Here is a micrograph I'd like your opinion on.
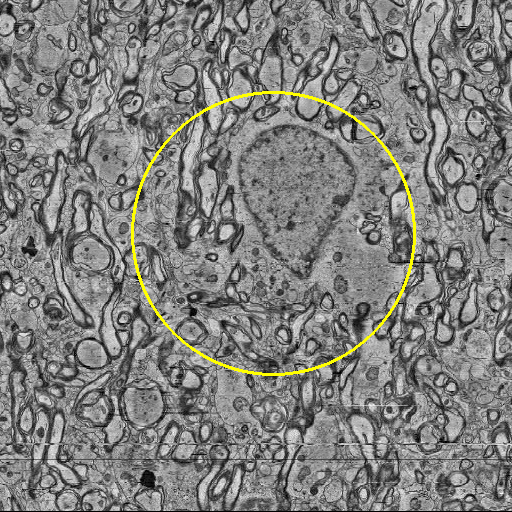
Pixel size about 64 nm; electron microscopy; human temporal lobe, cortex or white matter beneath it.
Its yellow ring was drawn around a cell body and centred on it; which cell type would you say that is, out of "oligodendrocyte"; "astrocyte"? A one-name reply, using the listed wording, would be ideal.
astrocyte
